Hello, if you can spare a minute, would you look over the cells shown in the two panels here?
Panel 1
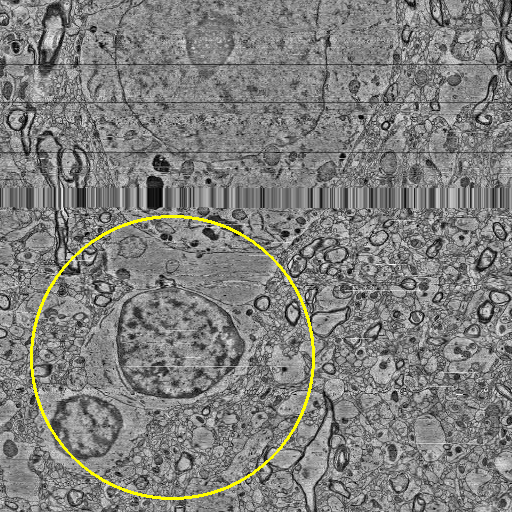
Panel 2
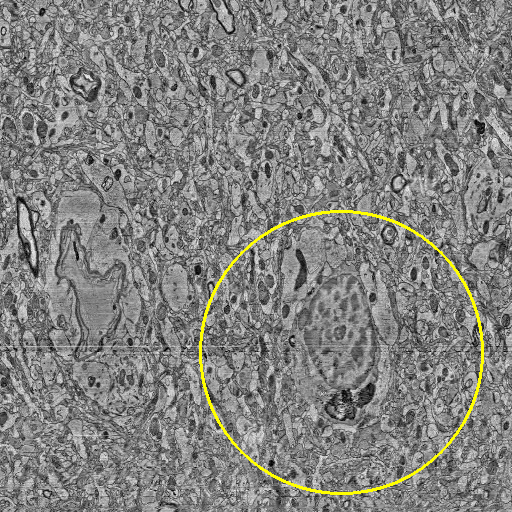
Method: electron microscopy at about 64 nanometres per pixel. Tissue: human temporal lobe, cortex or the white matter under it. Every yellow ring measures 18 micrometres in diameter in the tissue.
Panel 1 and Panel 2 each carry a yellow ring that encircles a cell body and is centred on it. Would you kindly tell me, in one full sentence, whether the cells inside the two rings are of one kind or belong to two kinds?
The cells at the centres of the rings in Panel 1 and Panel 2 belong to two kinds.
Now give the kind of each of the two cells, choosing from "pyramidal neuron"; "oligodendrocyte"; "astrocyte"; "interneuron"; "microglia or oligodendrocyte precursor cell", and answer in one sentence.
The cell in the first picture is a microglial cell or oligodendrocyte precursor cell, and the cell in the second is an oligodendrocyte.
